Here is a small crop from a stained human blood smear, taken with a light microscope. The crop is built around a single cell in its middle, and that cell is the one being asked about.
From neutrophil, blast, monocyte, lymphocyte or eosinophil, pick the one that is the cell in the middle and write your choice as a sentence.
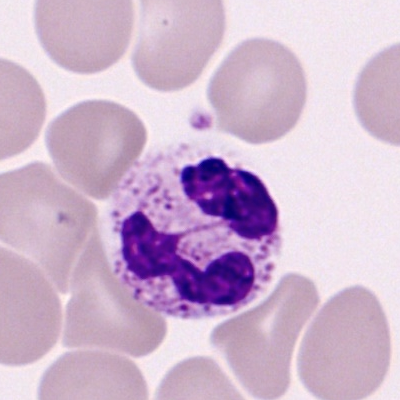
In this smear crop, the middle cell is a neutrophil.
